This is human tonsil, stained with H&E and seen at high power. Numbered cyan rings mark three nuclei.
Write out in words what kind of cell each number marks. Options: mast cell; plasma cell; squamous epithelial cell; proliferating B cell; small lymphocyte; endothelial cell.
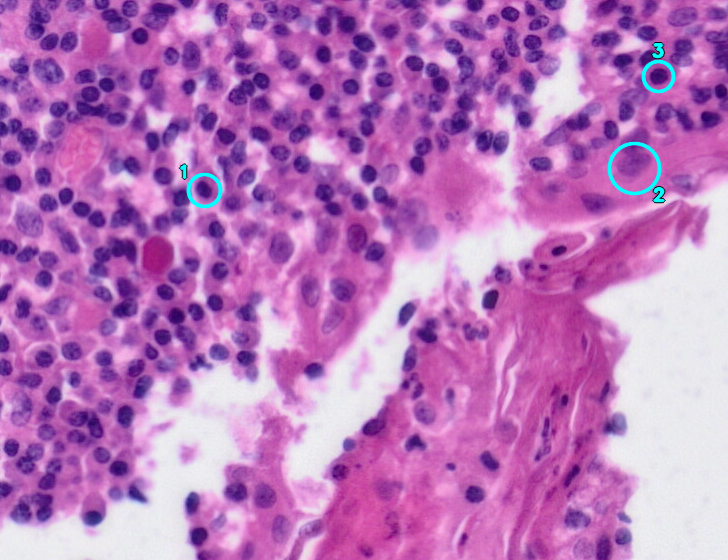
Cell 1 is a plasma cell, cell 2 is a squamous epithelial cell and cell 3 is a plasma cell.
